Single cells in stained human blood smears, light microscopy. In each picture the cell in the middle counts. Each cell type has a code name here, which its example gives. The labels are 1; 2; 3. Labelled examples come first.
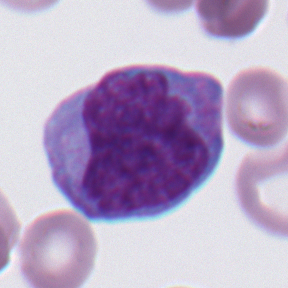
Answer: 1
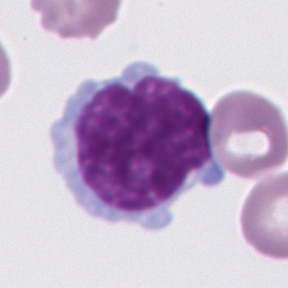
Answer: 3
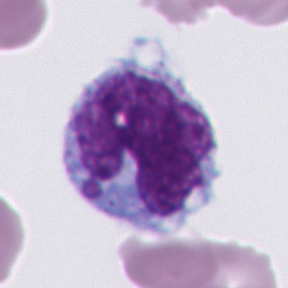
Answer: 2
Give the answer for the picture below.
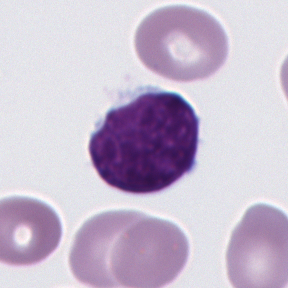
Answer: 3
